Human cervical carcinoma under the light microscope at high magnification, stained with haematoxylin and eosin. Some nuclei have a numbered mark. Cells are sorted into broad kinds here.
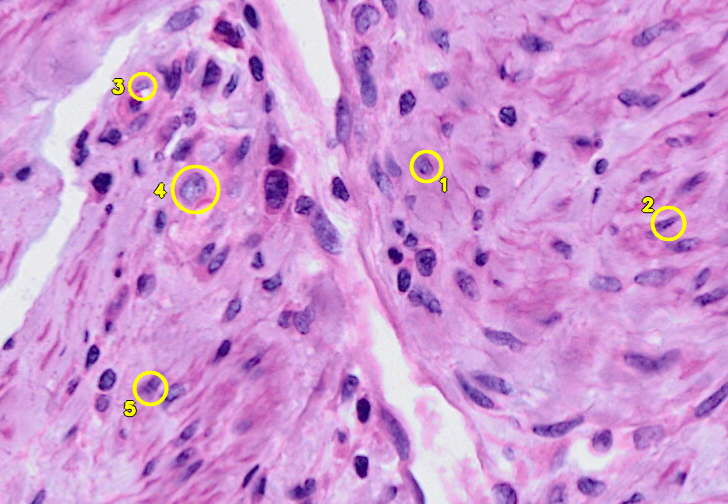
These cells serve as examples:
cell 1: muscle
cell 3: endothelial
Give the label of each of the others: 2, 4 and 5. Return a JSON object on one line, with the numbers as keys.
{"2": "muscle", "4": "endothelial", "5": "muscle"}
